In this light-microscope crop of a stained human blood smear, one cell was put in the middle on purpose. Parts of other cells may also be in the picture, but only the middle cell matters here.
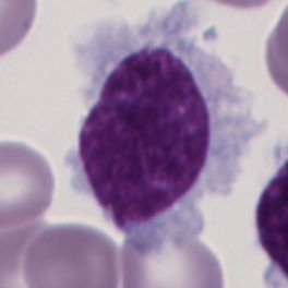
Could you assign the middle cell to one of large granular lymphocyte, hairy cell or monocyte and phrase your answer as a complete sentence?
Among the cells in view, the one in the middle is a hairy cell.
